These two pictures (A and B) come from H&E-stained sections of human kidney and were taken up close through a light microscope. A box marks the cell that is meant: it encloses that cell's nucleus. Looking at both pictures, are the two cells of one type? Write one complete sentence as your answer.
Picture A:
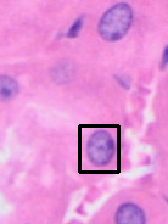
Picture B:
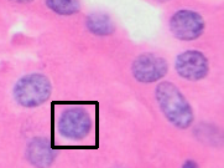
No, the types are not the same, since picture A shows a proximal tubule cell and picture B a “loop of Henle or distal tubule cell”.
